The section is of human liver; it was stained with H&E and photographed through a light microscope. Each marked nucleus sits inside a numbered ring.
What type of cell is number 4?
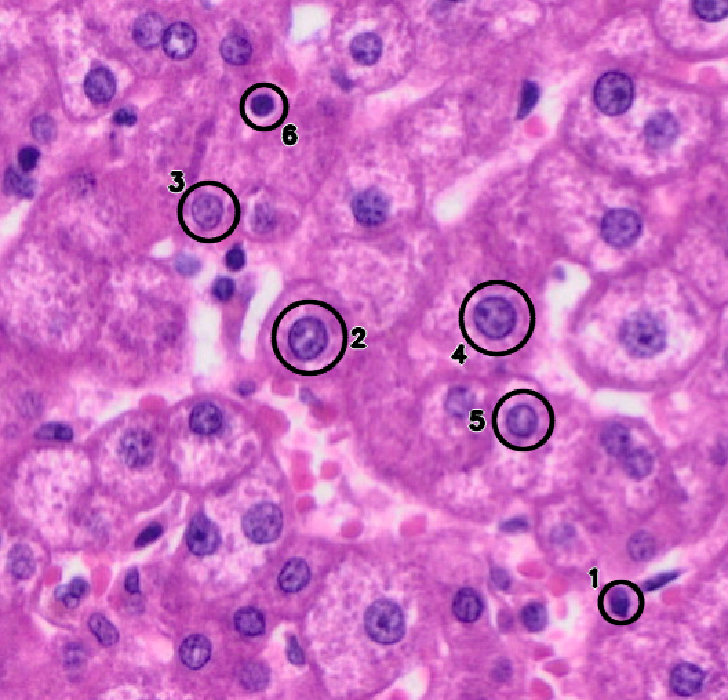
hepatocyte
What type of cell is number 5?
hepatocyte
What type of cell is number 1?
fibroblast or stellate cell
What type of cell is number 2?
hepatocyte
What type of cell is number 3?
hepatocyte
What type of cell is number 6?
lymphocyte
